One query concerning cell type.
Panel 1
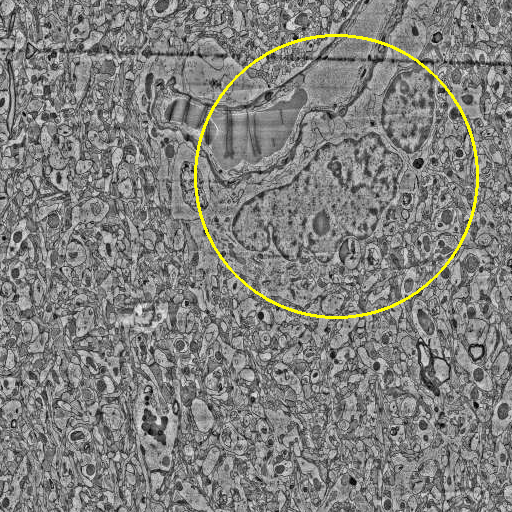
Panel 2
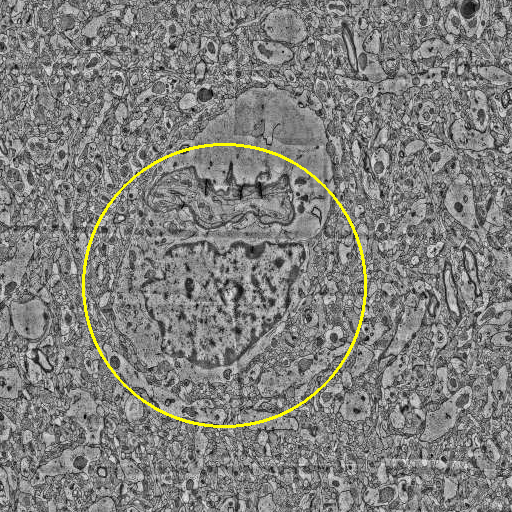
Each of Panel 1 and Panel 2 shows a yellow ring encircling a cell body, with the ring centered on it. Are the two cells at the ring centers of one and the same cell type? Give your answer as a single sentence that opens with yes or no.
Yes, the cell centered in Panel 1 and the one in Panel 2 share a type.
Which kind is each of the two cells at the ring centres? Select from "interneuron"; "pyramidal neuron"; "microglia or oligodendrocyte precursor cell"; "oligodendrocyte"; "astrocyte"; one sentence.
The second cell is a microglial cell or oligodendrocyte precursor cell, just as the first is.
